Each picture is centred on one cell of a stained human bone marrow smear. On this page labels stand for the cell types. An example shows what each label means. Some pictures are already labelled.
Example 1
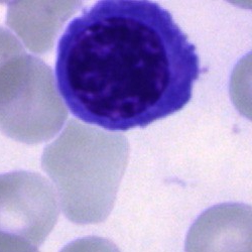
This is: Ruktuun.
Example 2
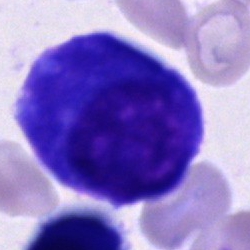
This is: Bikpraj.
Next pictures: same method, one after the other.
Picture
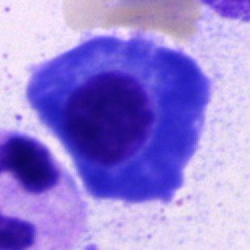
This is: Bikpraj.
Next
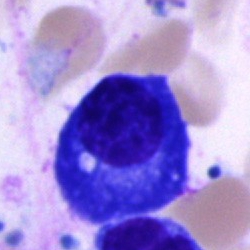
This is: Bikpraj.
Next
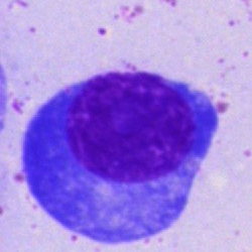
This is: Bikpraj.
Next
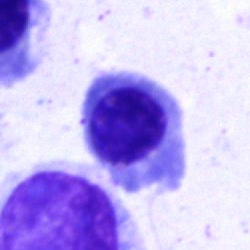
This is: Ruktuun.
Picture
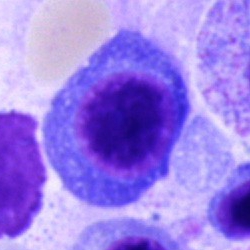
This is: Bikpraj.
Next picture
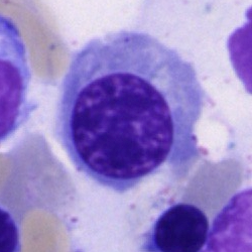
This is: Ruktuun.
